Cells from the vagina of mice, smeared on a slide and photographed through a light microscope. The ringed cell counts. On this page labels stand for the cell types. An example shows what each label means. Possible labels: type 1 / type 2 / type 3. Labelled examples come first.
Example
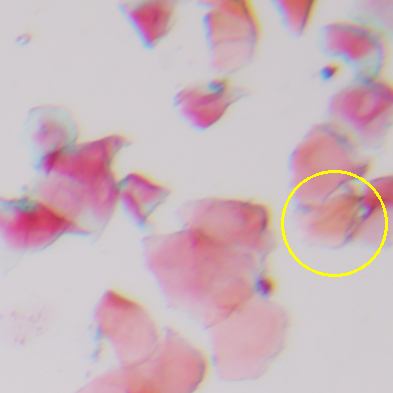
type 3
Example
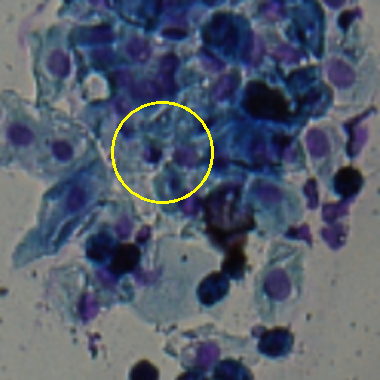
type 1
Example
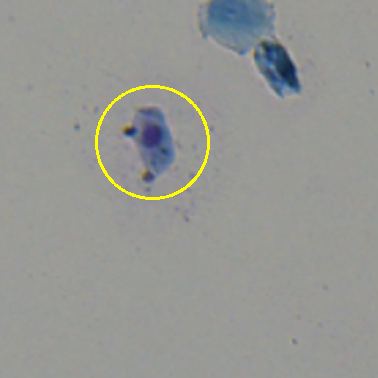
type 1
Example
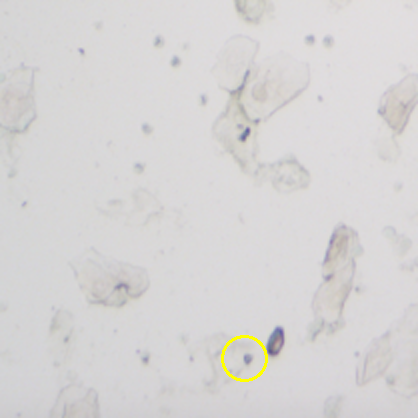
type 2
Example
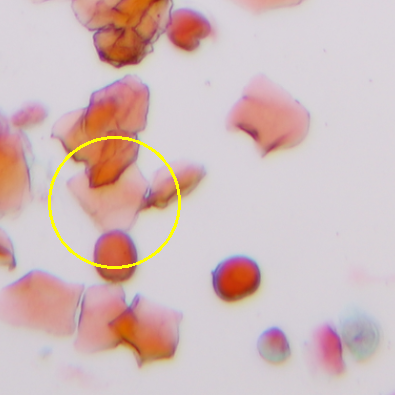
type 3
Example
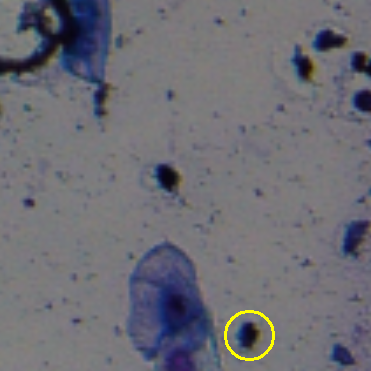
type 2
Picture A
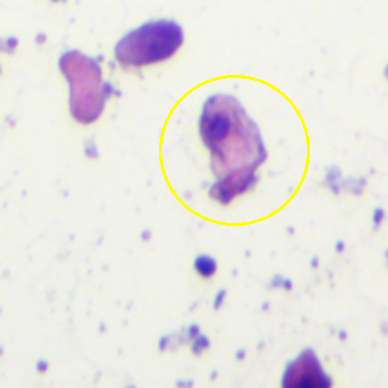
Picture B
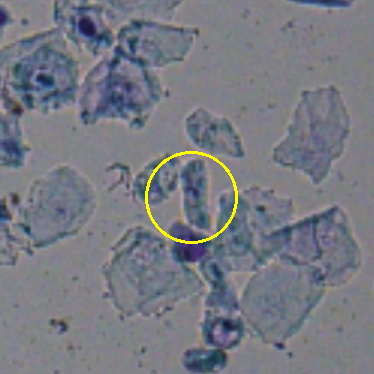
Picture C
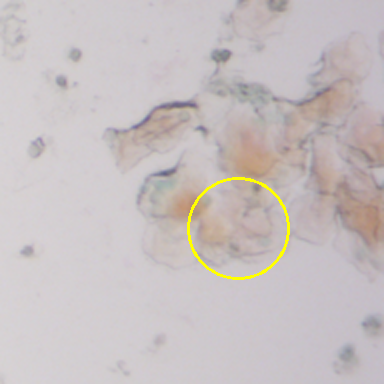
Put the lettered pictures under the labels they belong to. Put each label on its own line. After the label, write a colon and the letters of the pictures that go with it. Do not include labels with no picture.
type 1: A
type 3: B, C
